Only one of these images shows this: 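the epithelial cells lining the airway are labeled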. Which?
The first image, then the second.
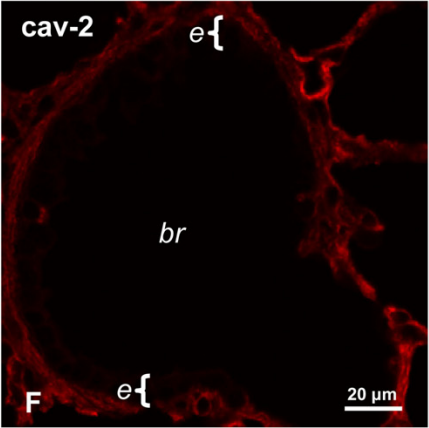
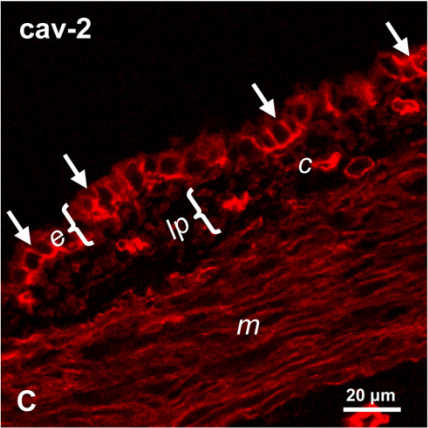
The second image.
